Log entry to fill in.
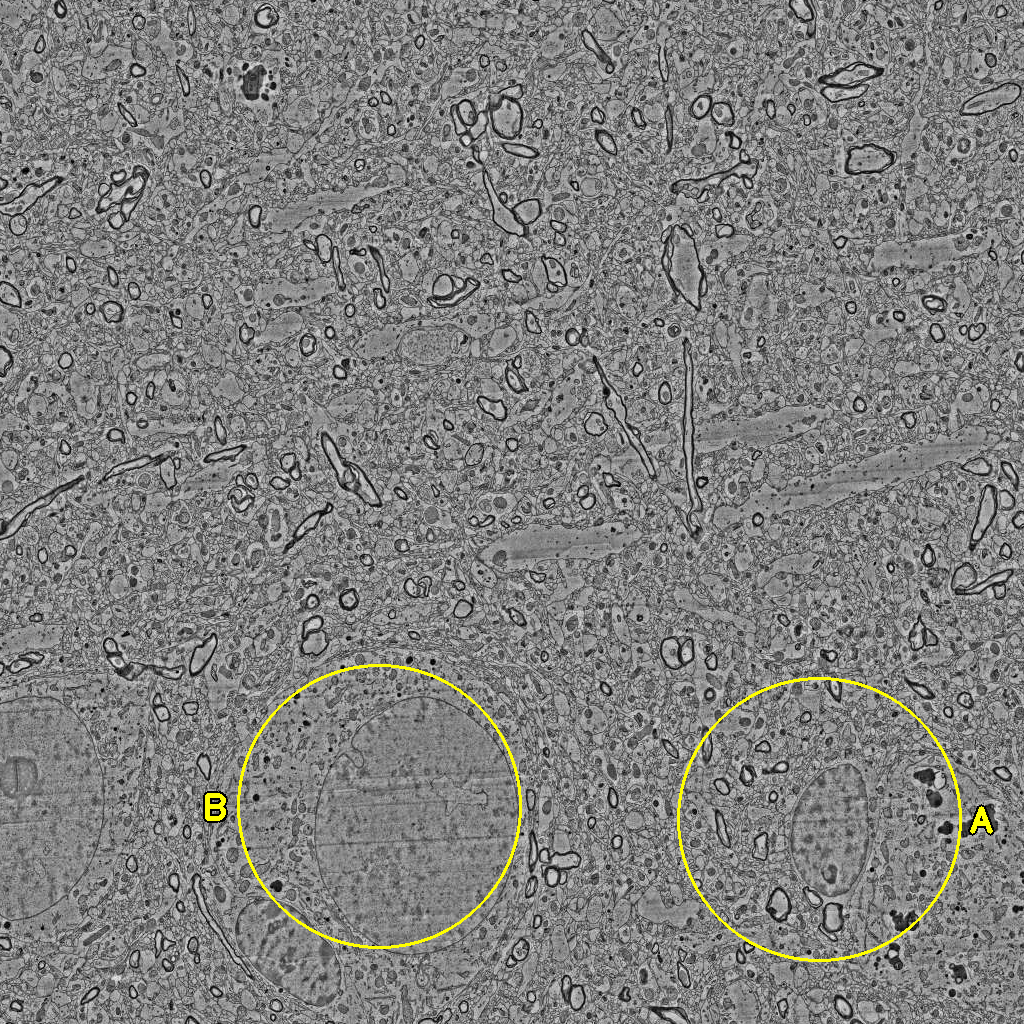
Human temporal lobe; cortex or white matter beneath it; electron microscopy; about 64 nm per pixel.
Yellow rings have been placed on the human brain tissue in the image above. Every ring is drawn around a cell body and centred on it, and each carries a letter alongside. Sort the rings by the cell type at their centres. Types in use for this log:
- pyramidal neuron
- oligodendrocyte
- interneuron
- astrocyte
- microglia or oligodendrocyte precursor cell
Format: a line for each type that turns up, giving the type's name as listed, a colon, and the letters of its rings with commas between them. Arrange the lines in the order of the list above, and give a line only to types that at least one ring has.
pyramidal neuron: B
oligodendrocyte: A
